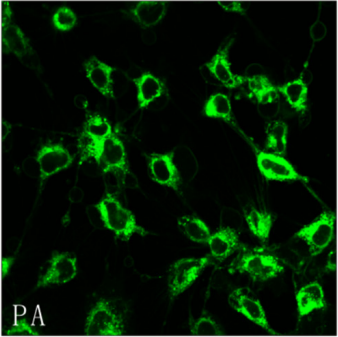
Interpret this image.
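The green signal is partly diffuse and partly punctate, with small bright dots in the cytoplasm. Many cells extend thin, faintly green processes that reach toward neighbouring cells. The cells vary in shape from rounded to elongated and polygonal.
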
